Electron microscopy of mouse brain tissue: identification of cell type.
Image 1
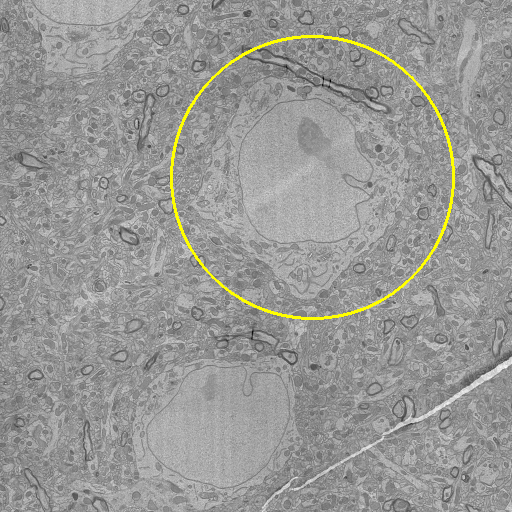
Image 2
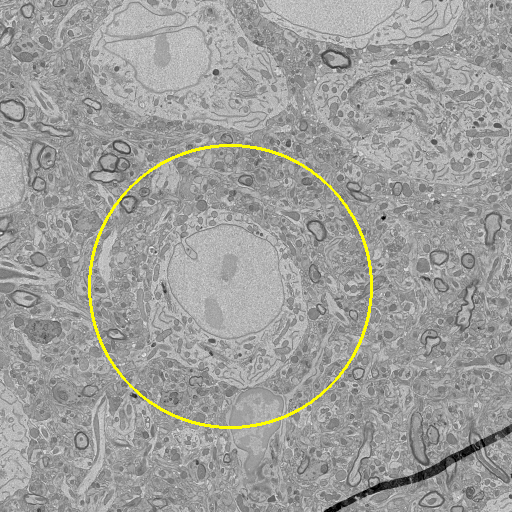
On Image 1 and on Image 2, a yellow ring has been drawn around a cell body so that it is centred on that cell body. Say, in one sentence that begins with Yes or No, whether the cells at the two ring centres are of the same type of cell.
No, the two cells are two separate types of cell.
